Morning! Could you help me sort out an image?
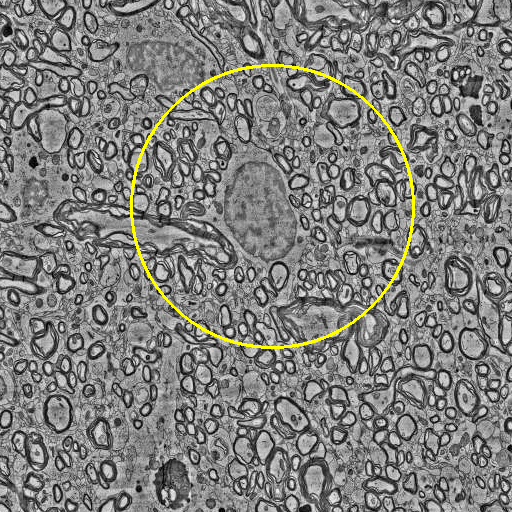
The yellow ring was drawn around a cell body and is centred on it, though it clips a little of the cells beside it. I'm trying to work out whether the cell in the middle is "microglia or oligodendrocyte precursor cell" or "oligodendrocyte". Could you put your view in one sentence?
The ringed cell body is that of an oligodendrocyte.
